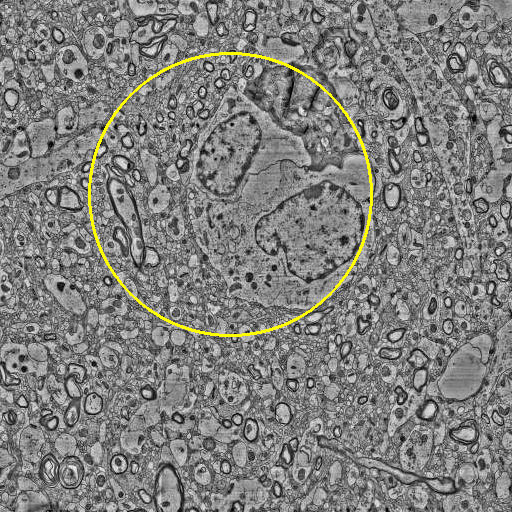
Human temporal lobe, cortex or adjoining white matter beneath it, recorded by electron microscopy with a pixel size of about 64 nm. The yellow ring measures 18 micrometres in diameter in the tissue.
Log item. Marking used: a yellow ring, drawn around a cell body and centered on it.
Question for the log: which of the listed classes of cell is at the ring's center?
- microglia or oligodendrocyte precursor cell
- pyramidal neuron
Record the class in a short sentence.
At the center of the ring lies a microglial cell or oligodendrocyte precursor cell.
